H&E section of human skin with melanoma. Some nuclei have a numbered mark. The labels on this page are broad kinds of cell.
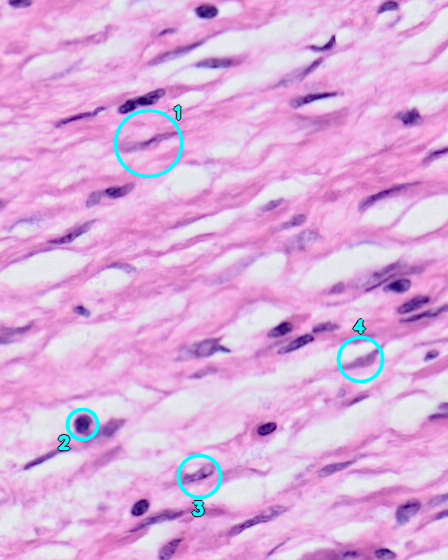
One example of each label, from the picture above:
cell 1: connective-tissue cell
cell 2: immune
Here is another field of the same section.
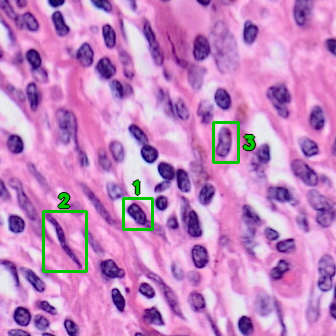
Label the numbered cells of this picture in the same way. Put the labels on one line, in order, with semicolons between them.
immune; connective-tissue cell; immune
